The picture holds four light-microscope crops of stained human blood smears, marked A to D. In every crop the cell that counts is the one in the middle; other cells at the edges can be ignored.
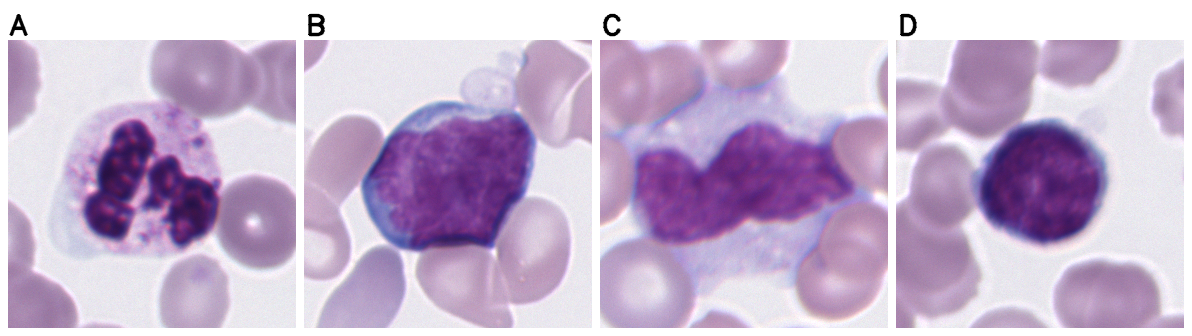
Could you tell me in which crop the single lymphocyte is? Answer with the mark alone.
D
